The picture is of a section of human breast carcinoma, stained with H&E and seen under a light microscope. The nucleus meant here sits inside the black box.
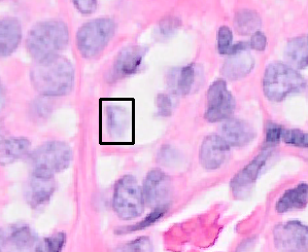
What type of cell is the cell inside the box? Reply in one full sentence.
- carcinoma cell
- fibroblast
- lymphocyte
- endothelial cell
In short, the cell inside the box on this section is a carcinoma cell.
